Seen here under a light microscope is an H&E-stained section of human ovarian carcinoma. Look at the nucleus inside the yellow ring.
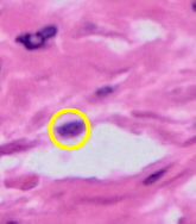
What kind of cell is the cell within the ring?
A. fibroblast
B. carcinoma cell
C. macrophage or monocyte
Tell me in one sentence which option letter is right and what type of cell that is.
Option A, which has the cell within the ring as a fibroblast, is the correct choice.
